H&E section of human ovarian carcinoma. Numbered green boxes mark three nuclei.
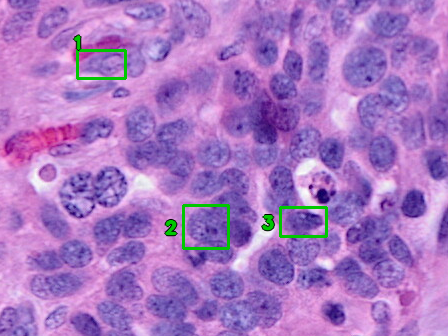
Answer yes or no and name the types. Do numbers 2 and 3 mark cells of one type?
Yes, the cells numbered 2 and 3 are both carcinoma cells.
